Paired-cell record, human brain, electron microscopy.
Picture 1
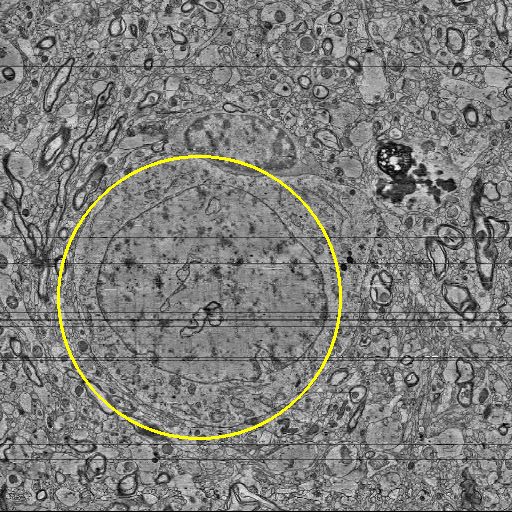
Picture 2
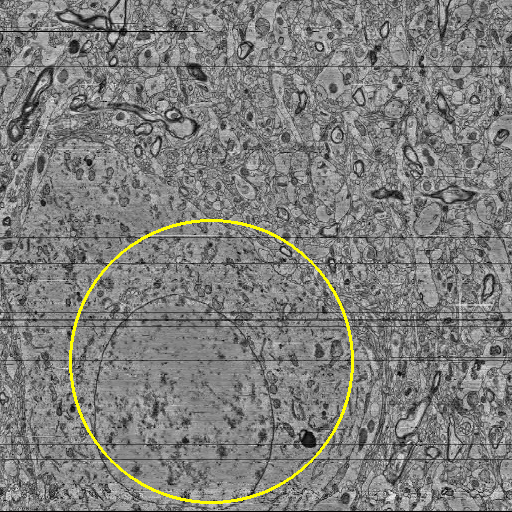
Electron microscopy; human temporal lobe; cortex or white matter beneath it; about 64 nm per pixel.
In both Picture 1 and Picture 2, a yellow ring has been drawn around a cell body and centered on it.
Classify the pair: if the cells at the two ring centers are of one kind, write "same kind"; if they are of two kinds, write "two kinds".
same kind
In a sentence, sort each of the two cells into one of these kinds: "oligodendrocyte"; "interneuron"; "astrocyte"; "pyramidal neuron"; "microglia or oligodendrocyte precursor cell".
In both pictures the ring is centred on a pyramidal neuron.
